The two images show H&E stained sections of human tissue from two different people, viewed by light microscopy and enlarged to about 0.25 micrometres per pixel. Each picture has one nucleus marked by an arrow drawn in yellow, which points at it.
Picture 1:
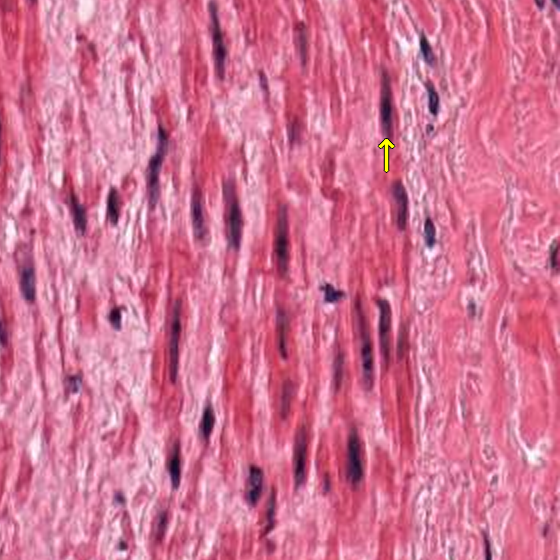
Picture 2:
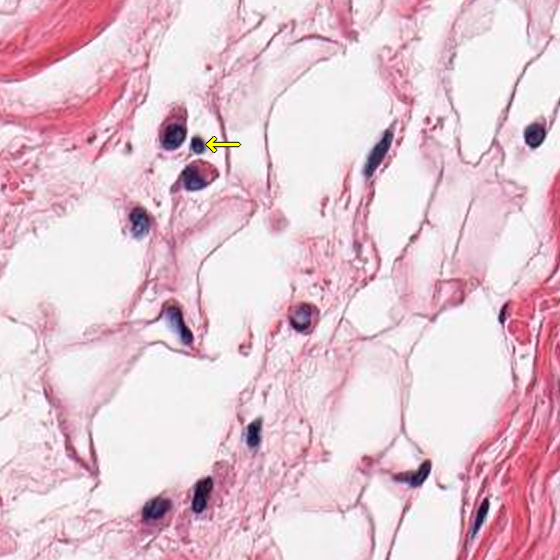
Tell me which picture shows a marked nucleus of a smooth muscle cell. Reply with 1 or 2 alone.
1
